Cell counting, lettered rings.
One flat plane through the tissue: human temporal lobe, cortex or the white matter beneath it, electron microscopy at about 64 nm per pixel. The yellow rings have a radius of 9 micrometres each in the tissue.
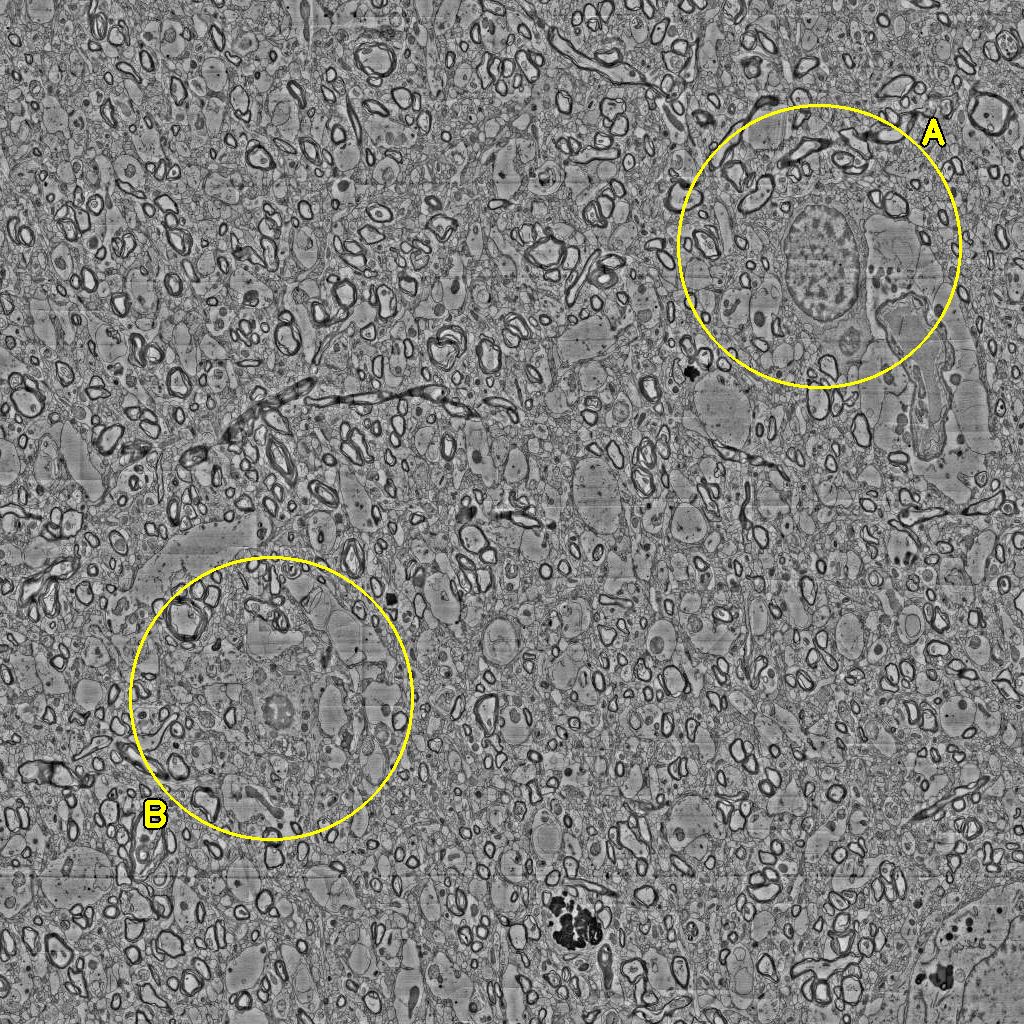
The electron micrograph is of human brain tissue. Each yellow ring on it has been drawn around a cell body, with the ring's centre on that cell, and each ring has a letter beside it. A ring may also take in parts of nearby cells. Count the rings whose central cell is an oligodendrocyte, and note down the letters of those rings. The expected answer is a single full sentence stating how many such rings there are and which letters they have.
In the micrograph, two rings with the letters A and B are each centred on an oligodendrocyte.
